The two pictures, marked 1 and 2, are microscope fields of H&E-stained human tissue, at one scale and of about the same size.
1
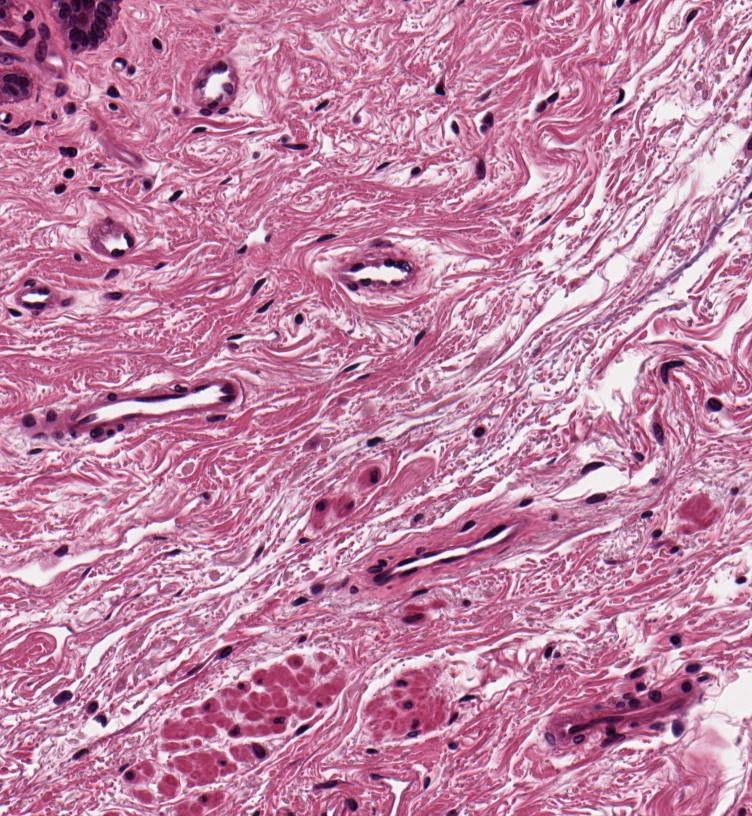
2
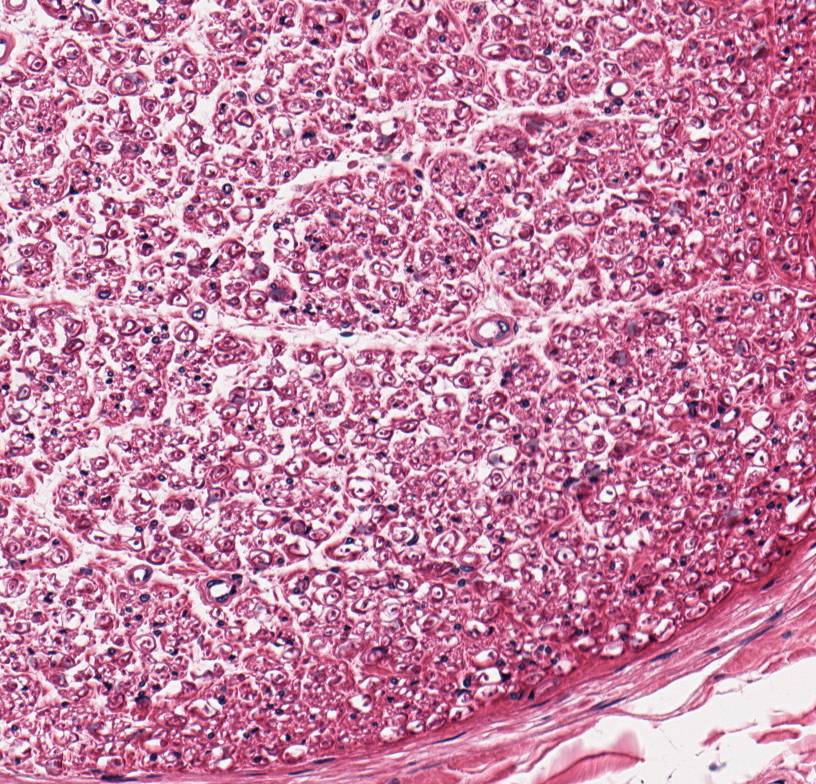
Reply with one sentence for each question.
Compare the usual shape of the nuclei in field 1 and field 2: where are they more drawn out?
The nuclei are more elongated in field 1.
